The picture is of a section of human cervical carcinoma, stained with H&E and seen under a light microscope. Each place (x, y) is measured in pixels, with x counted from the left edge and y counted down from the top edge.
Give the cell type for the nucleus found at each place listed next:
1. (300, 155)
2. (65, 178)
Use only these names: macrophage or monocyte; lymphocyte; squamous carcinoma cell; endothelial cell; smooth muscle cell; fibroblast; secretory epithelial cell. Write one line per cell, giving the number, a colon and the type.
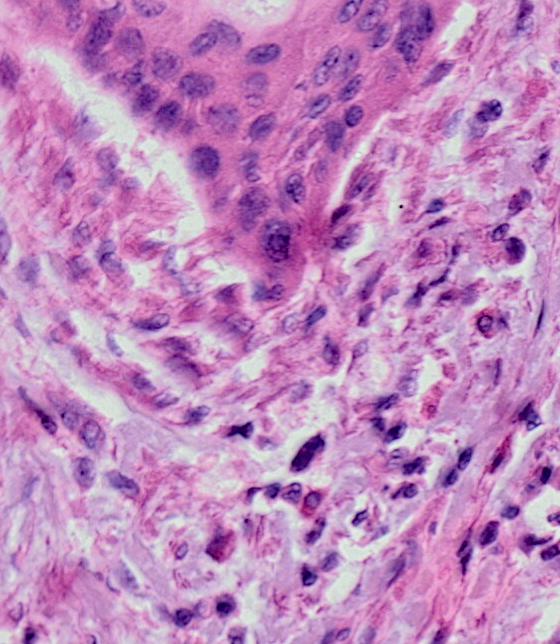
1: squamous carcinoma cell
2: fibroblast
